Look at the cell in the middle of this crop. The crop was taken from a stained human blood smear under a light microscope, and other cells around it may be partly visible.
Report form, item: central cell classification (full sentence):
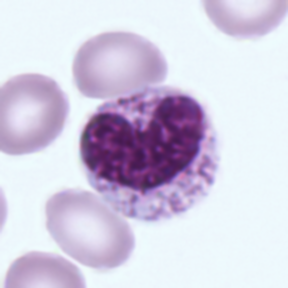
The cell centred in this crop is categorized as a band neutrophil.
